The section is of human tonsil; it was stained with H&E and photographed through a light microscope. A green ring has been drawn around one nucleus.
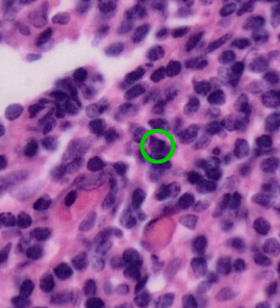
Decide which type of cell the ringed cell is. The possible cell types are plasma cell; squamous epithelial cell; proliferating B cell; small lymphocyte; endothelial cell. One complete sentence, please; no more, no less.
As to its cell type, the ringed cell is a small lymphocyte.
